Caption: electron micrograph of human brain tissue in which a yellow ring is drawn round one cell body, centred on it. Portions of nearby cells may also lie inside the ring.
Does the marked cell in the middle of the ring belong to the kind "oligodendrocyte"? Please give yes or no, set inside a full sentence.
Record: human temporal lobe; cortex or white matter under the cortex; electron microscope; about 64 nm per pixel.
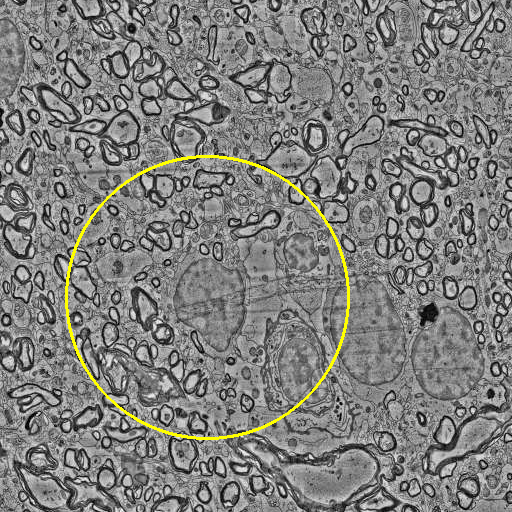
Yes, the marked cell that the ring is centred on in the picture is of that kind.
